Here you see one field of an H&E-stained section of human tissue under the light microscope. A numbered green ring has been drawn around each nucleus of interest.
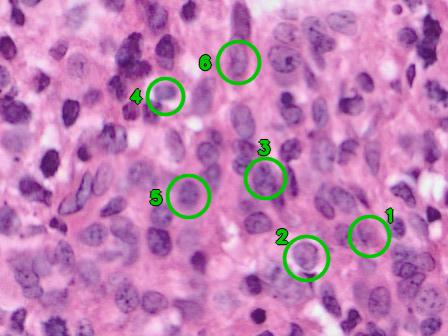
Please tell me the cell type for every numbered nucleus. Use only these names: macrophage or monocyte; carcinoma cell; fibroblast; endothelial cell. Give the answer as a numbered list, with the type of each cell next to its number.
1. carcinoma cell
2. macrophage or monocyte
3. carcinoma cell
4. macrophage or monocyte
5. carcinoma cell
6. endothelial cell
